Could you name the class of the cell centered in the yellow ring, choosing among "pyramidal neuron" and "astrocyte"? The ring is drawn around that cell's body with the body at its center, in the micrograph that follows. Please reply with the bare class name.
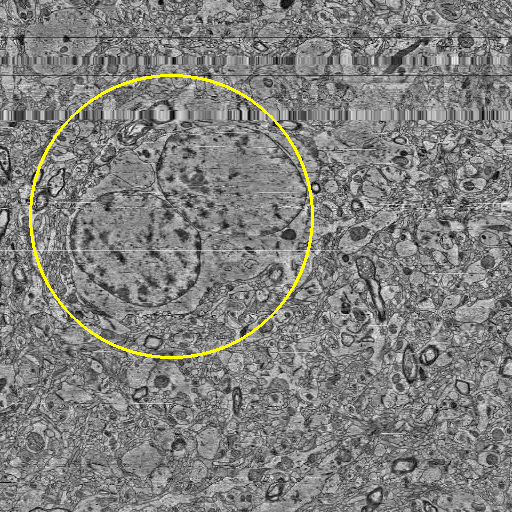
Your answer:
astrocyte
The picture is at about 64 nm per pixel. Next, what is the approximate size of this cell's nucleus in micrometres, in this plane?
The nucleus has a long axis of about 9 micrometres and a short axis of about 7 micrometres in this plane.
